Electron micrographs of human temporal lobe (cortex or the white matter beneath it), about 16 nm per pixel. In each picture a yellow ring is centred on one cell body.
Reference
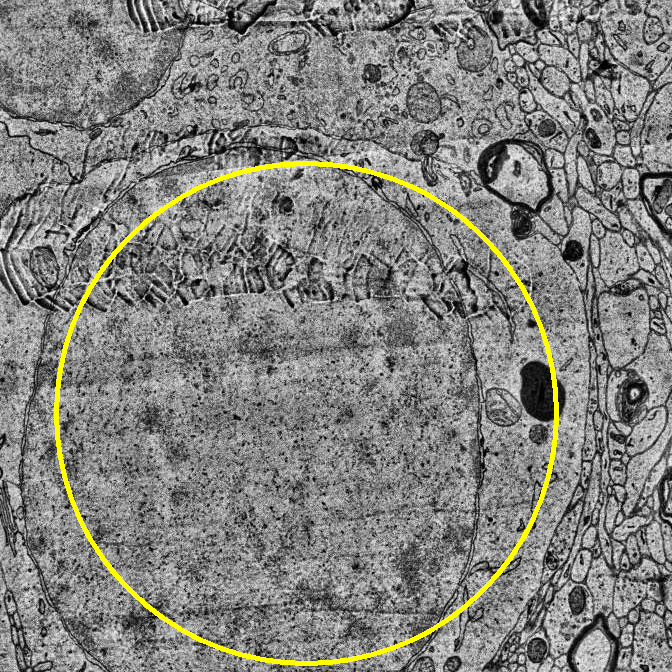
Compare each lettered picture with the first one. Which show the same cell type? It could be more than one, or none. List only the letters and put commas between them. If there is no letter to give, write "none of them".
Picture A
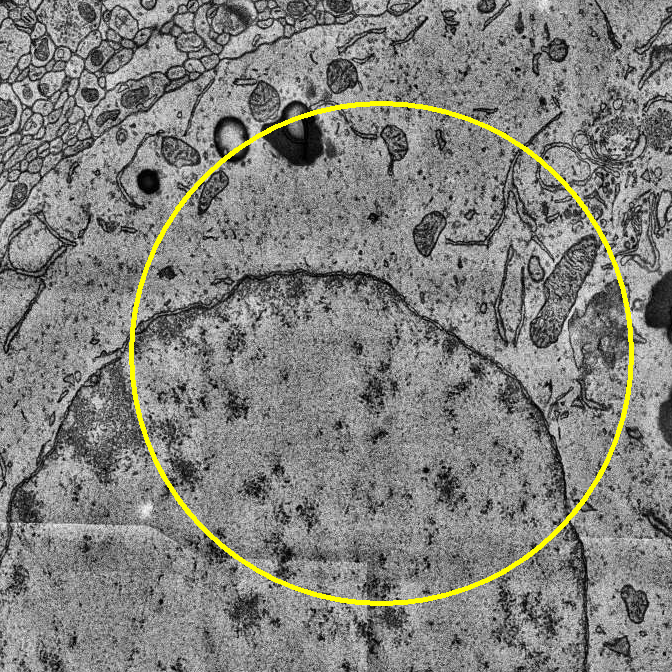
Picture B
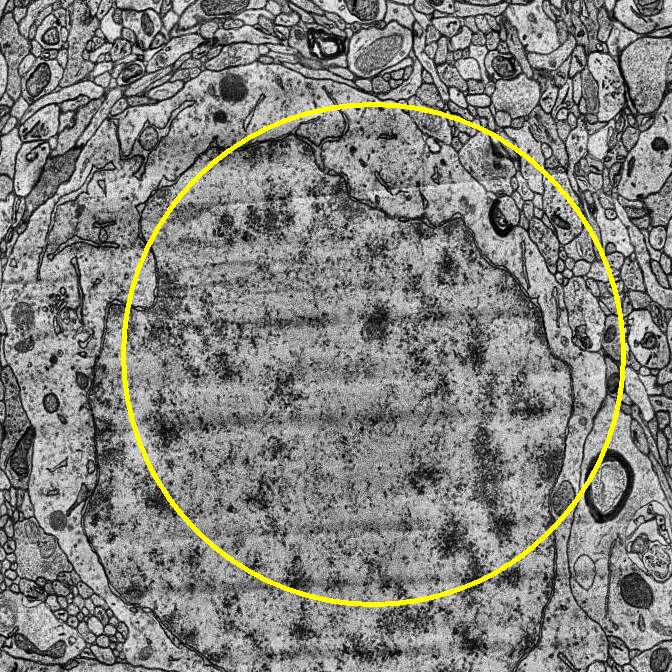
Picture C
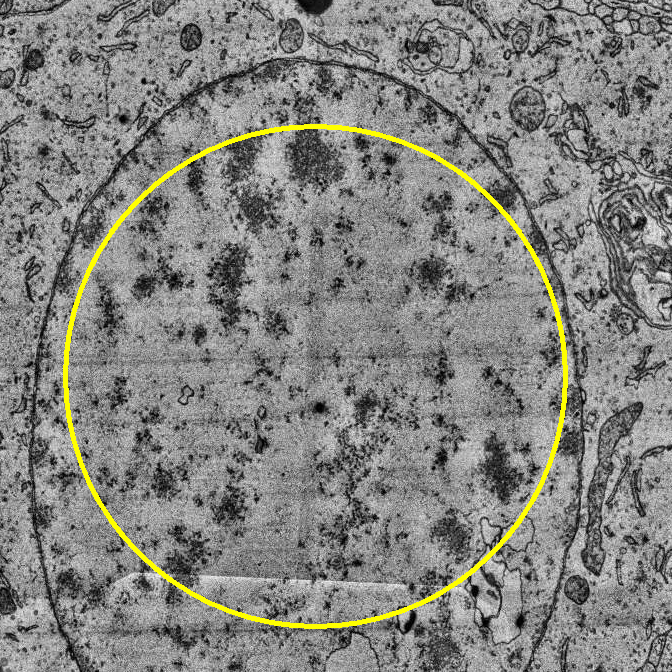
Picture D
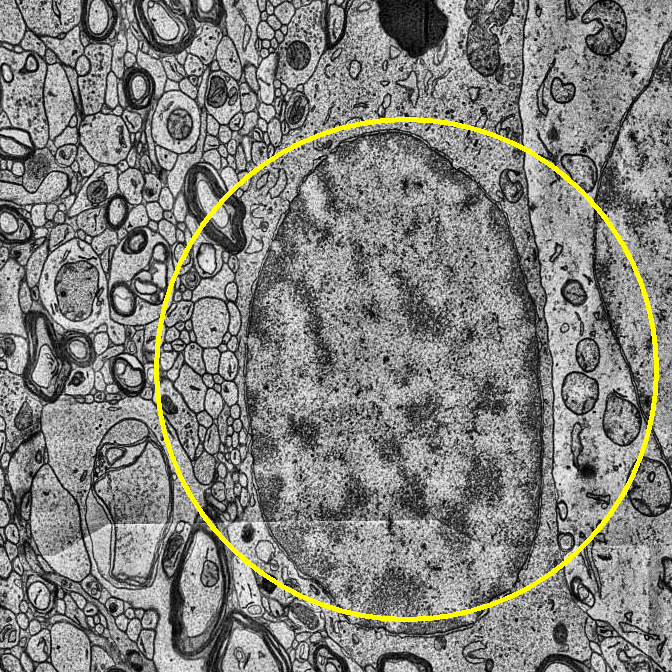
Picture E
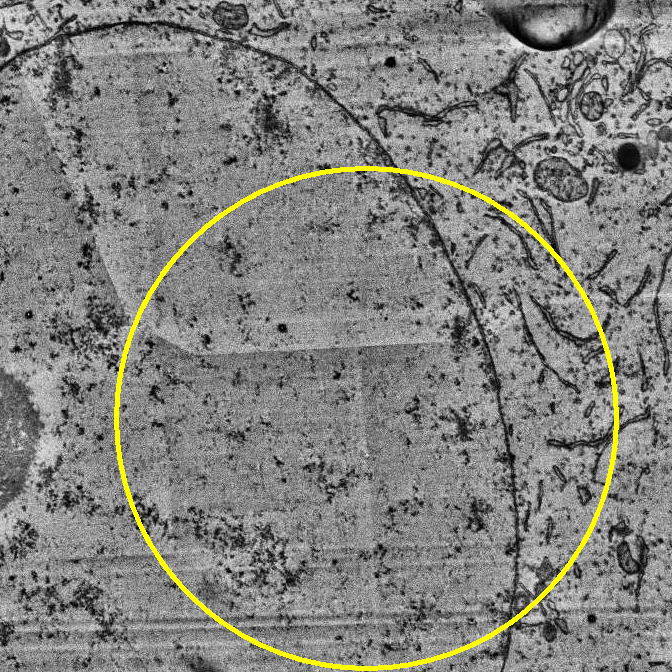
B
